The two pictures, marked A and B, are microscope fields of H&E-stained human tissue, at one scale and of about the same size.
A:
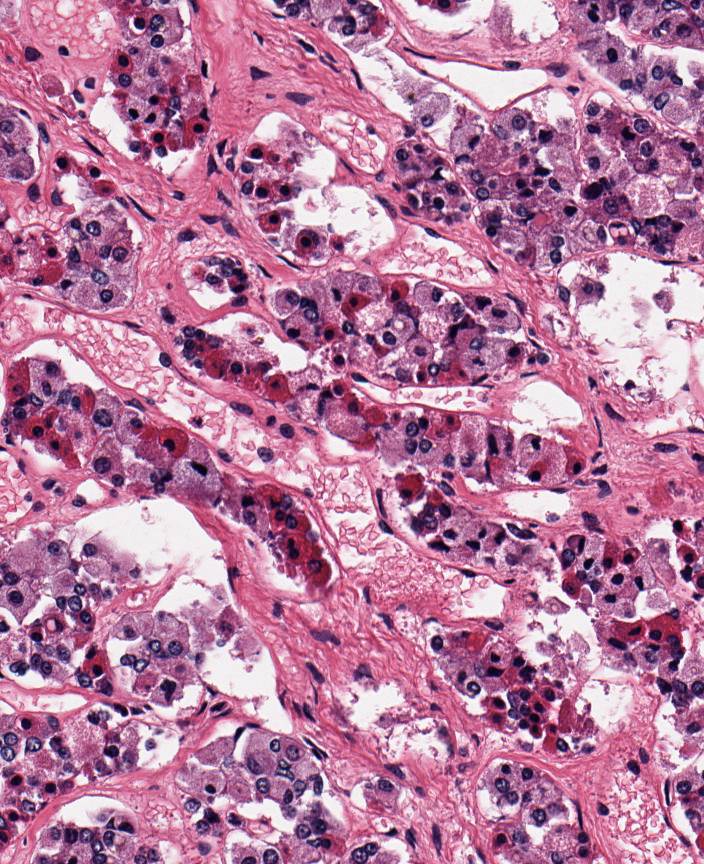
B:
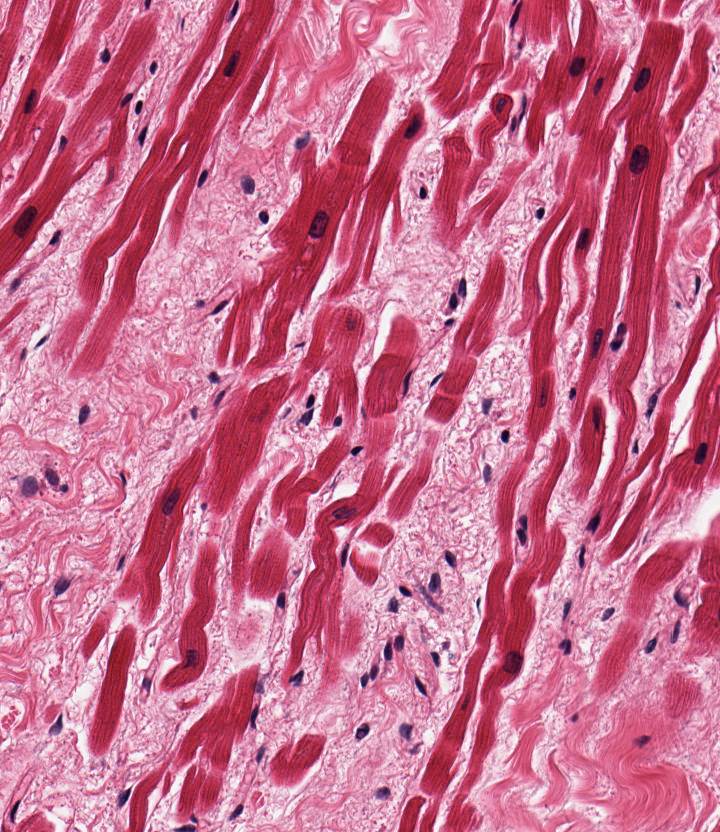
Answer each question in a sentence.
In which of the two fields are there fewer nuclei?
Field B holds fewer nuclei than field A.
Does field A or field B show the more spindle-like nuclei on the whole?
On the whole the nuclei of field B are more drawn out than those of field A.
